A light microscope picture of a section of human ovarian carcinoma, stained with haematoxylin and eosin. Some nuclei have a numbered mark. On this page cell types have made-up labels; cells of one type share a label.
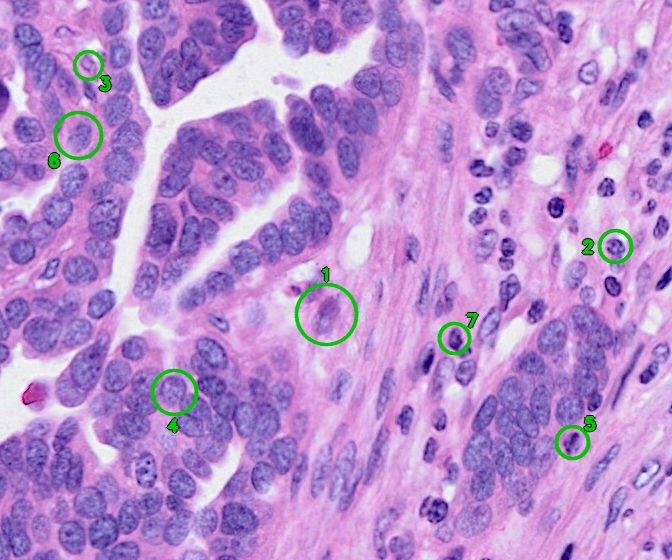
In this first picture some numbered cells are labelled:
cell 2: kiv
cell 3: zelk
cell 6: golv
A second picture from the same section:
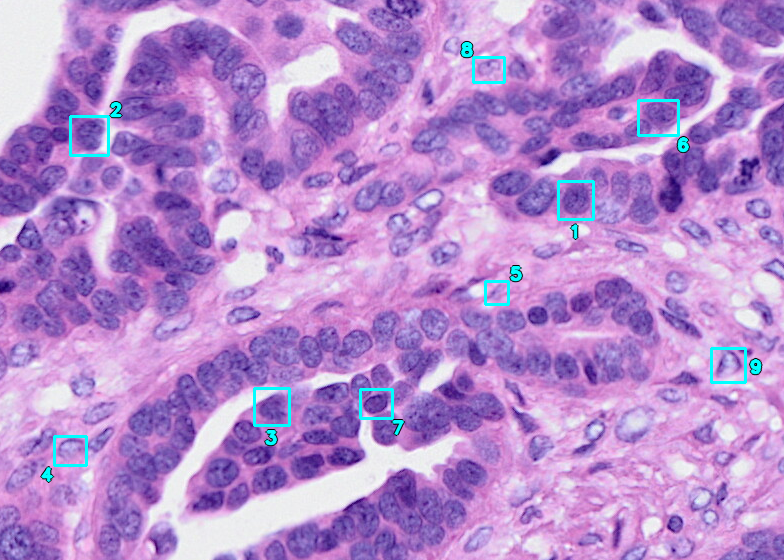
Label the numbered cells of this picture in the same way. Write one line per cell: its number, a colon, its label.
1: golv
2: golv
3: golv
4: zelk
5: zelk
6: golv
7: golv
8: zelk
9: zelk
